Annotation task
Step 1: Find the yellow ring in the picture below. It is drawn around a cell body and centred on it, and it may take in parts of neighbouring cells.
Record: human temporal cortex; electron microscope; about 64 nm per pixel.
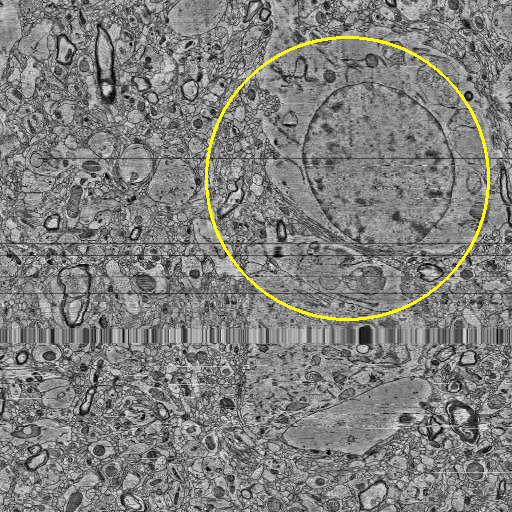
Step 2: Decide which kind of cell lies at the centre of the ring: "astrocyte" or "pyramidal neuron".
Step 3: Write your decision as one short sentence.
The kind of cell at the ring's centre is an astrocyte.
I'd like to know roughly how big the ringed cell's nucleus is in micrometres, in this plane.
In this plane, about 12 micrometres in length and 9 in width.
